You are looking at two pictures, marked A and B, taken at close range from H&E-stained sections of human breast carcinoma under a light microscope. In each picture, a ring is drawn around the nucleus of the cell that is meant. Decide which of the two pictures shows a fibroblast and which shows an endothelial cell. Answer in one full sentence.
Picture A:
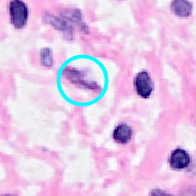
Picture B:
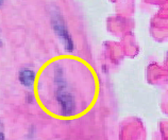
Picture A is of a fibroblast, and picture B is of an endothelial cell.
